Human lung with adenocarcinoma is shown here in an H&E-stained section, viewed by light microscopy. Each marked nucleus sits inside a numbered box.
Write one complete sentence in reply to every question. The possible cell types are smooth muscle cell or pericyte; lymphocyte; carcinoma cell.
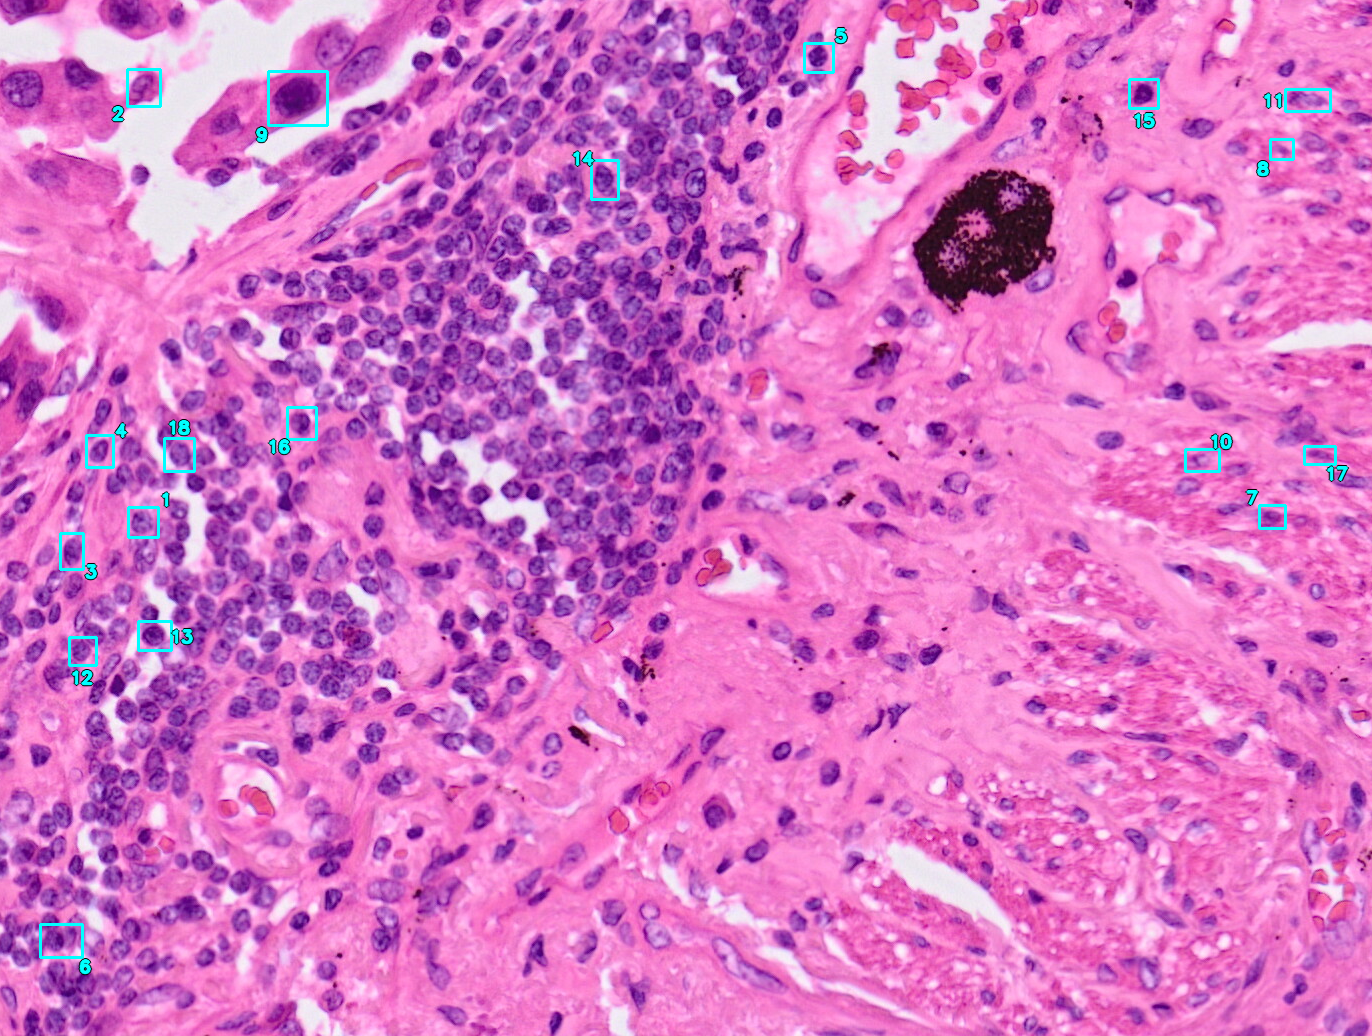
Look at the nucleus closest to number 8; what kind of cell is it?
The cell nearest to number 8 is a smooth muscle cell or pericyte.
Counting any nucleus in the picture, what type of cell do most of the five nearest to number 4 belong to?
Of the five nuclei nearest to number 4, most belong to lymphocytes.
